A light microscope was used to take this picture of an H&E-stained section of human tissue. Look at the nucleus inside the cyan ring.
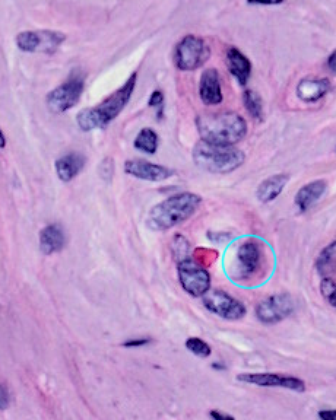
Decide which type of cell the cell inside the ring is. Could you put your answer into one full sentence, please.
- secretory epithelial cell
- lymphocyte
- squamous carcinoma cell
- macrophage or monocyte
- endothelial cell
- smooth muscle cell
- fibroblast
In short, the cell inside the ring on this section is an endothelial cell.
